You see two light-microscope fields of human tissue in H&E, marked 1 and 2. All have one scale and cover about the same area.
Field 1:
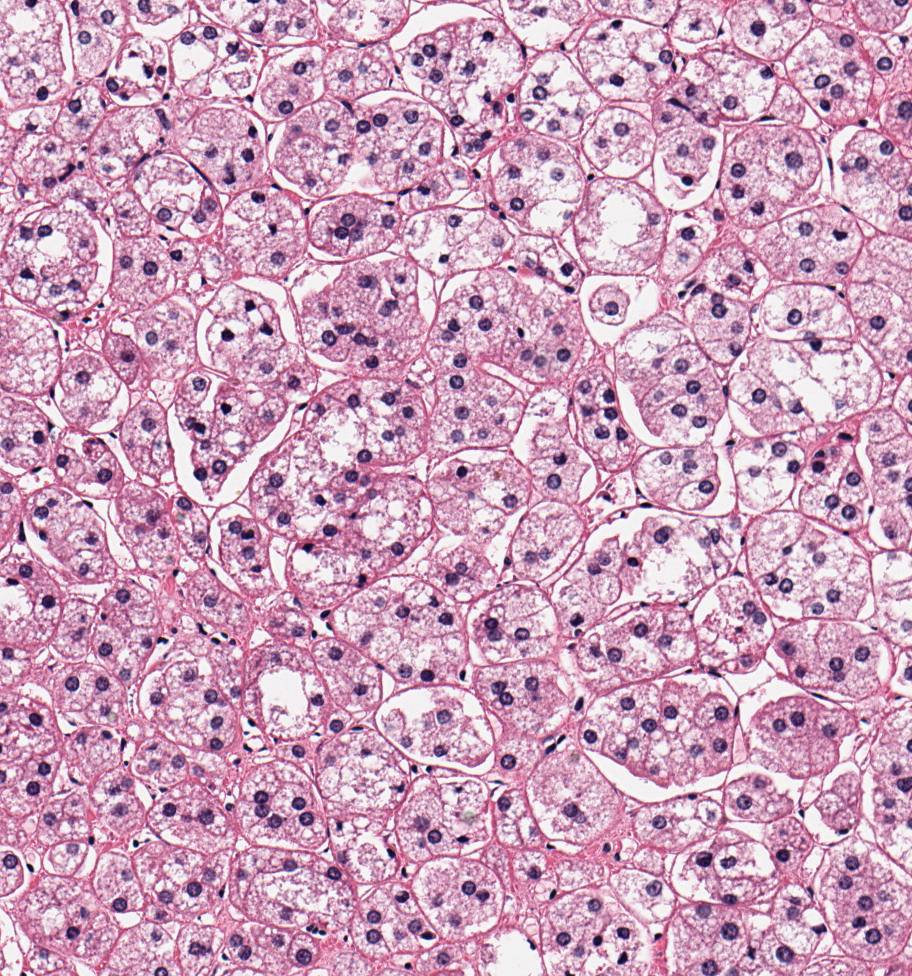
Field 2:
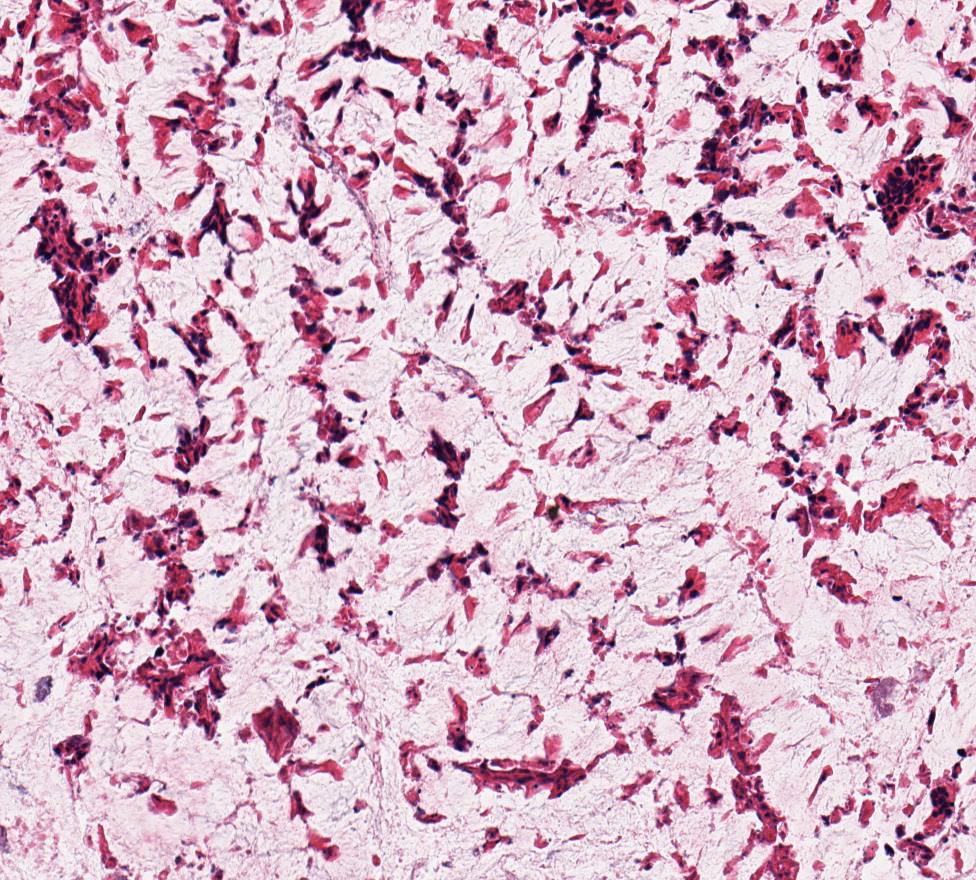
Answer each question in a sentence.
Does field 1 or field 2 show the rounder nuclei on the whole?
The nuclei are rounder in field 1.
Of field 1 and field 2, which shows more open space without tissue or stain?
It is field 2 in which white space covers the larger part.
